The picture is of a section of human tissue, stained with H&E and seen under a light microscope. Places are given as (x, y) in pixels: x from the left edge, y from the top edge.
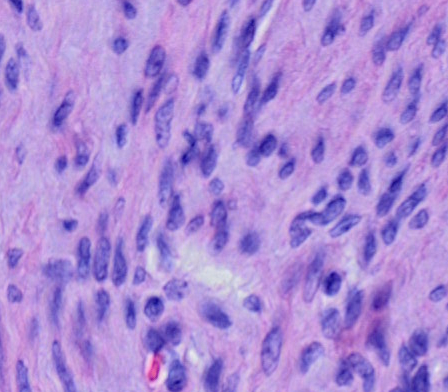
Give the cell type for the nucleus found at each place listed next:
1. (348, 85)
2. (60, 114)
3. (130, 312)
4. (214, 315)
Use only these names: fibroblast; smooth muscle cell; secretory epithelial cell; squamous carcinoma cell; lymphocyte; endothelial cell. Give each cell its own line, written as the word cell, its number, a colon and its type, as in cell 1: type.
cell 1: smooth muscle cell
cell 2: smooth muscle cell
cell 3: fibroblast
cell 4: fibroblast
